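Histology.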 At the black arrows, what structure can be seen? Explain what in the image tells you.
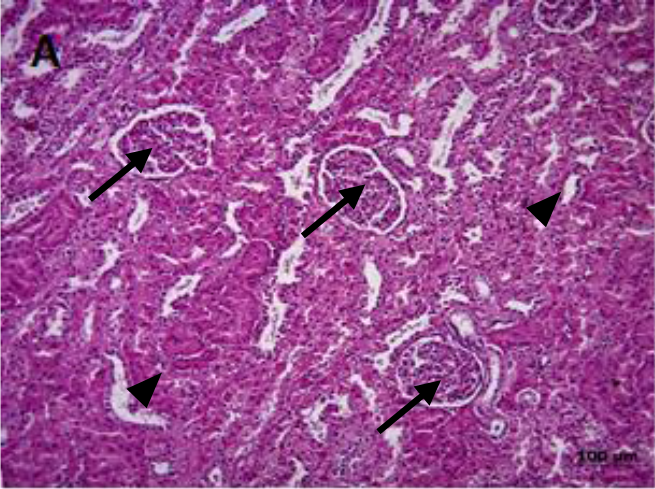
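Glomeruli. Round tufts of cells, each sitting inside a clear space with a thin outer capsule. Several such rounded bodies are scattered among the tubules.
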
